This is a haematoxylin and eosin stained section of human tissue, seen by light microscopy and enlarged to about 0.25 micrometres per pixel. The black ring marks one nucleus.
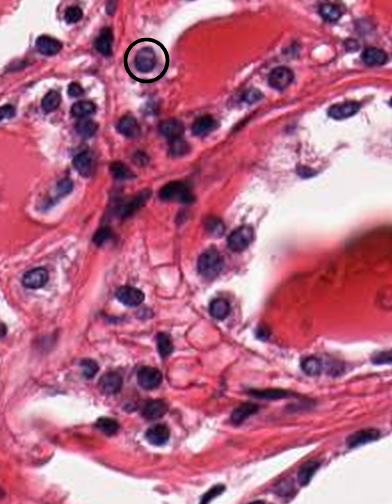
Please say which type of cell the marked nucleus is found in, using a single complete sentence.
Marked in this picture is the nucleus of a thyroid follicular cell.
